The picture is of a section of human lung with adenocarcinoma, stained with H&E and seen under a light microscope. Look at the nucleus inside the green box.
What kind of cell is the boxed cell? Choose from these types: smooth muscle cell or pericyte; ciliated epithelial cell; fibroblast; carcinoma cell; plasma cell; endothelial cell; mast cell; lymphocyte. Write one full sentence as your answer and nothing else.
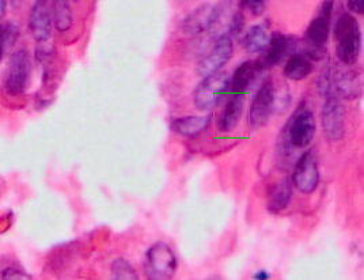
It is as a ciliated epithelial cell that the boxed cell is classified.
